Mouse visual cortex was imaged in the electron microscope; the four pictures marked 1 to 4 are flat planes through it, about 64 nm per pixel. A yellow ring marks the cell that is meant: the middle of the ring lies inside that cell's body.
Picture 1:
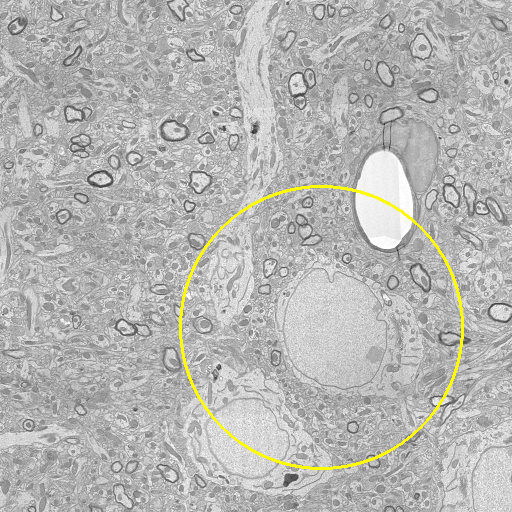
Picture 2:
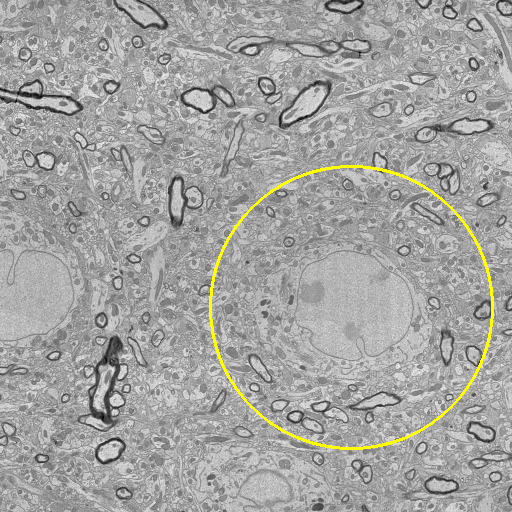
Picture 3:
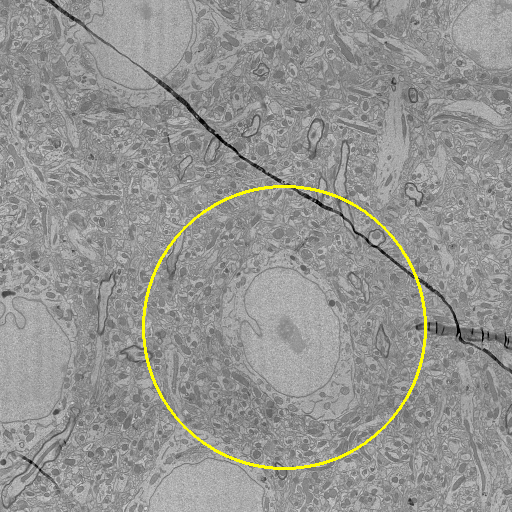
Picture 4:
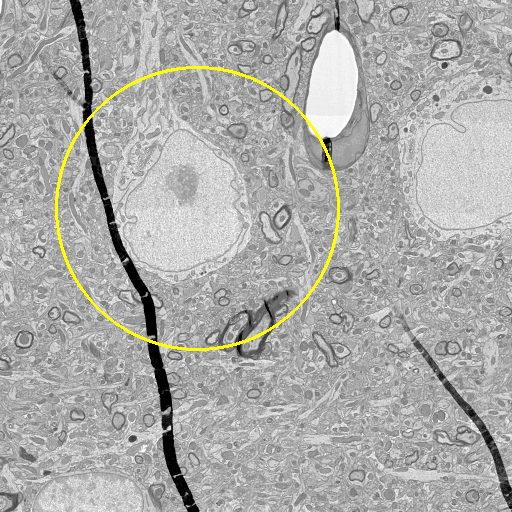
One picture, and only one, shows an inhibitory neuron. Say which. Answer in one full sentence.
Picture 4 is the one that shows the inhibitory neuron.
